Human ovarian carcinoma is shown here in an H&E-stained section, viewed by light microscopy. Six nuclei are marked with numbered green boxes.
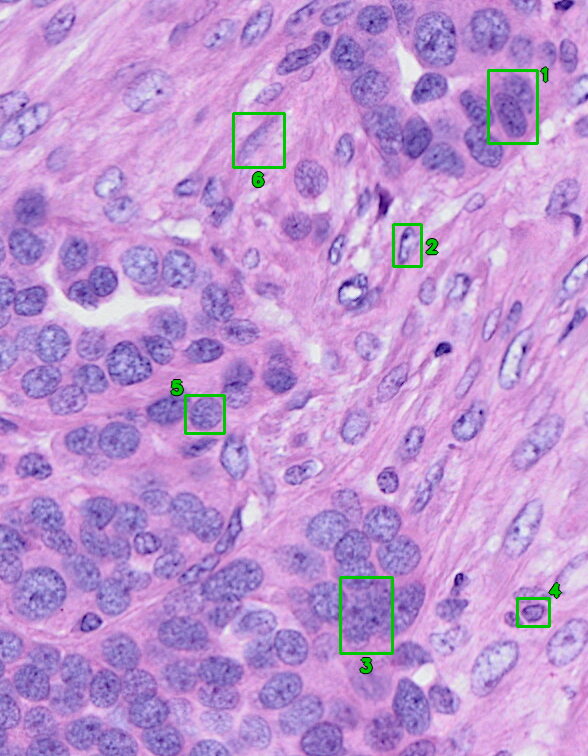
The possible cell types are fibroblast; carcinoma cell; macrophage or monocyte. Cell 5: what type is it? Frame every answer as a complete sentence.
Cell 5 in the field is a carcinoma cell.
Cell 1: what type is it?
The cell marked with number 1 is a carcinoma cell.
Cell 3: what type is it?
The cell referred to as 3 is a carcinoma cell.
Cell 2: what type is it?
In this section, number 2 marks a fibroblast.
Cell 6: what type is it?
The one labeled 6 is a fibroblast, to put it simply.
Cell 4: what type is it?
Cell 4 of the marked set is a macrophage or monocyte.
